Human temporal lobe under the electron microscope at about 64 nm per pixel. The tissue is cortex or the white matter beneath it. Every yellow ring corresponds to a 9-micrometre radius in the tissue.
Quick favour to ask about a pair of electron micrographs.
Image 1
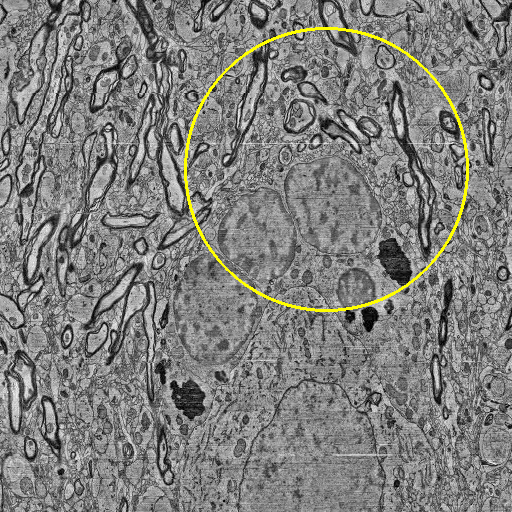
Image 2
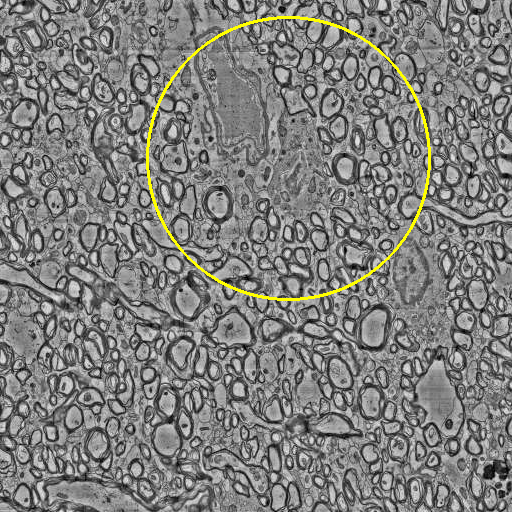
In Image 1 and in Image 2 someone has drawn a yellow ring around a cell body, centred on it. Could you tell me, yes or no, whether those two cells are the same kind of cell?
yes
